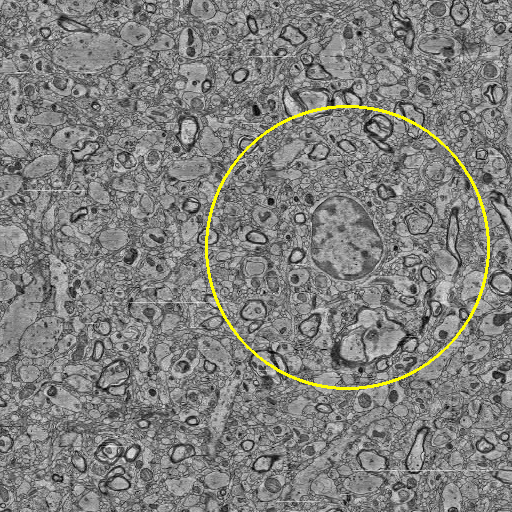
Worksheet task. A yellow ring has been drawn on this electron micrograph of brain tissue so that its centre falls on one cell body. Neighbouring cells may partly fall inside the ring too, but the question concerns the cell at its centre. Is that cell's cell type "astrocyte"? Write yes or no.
no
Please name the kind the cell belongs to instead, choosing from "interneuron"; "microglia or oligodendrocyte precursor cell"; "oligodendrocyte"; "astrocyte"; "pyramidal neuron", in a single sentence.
The cell circled by the yellow ring is a microglial cell or oligodendrocyte precursor cell.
